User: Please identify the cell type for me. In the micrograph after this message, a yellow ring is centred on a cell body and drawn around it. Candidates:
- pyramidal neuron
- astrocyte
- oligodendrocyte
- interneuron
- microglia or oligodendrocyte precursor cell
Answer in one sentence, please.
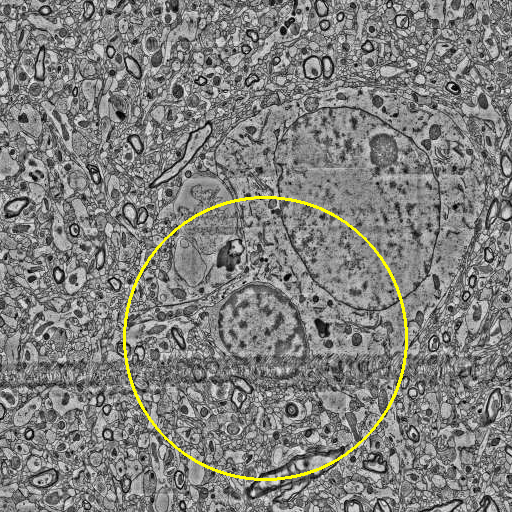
The ring is drawn around the cell body of an oligodendrocyte.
